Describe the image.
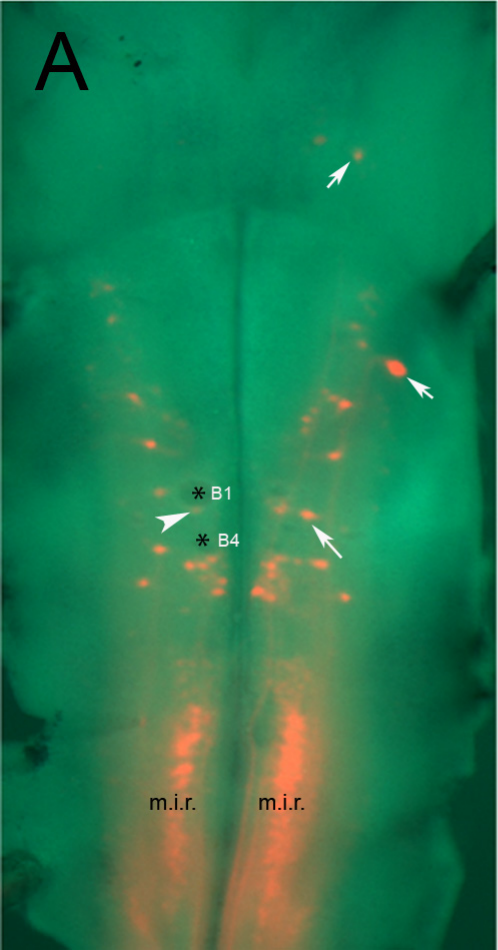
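Over a greenish view of the flattened brain stem, many orange-red fluorescent cell bodies lie in roughly mirror-image clusters on both sides of a dark midline groove. Toward the lower end, dense elongated bands of closely packed orange cells run alongside the midline on each side. Between the clusters near the midline, two spots that would hold large cells show no fluorescence.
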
